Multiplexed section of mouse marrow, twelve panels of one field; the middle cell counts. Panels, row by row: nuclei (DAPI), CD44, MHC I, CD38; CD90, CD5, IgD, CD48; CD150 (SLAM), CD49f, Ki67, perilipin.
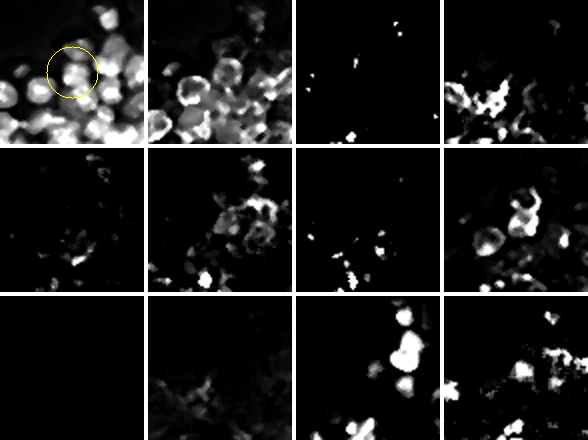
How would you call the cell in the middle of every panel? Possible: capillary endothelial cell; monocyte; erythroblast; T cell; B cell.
I would call it a monocyte.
